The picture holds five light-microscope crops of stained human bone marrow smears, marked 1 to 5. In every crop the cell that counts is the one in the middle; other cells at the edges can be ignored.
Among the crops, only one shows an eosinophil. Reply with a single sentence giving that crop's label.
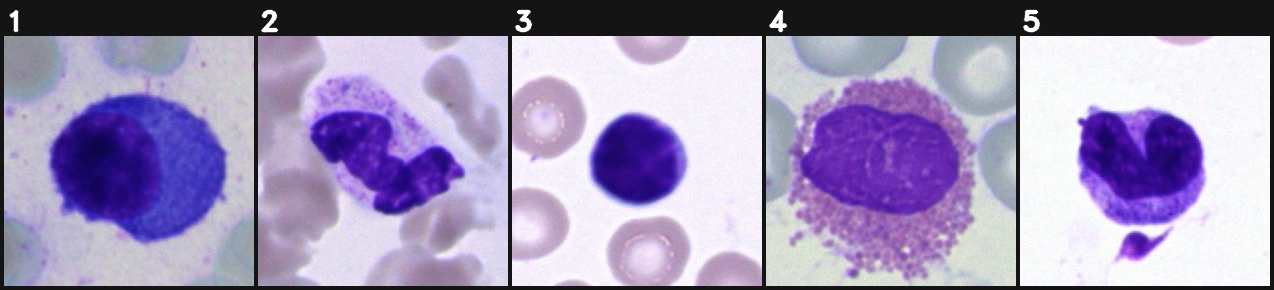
The crop with an eosinophil in it is crop 4.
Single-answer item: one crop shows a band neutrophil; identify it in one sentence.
Crop 5 is the right one; it is the crop showing a band neutrophil.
